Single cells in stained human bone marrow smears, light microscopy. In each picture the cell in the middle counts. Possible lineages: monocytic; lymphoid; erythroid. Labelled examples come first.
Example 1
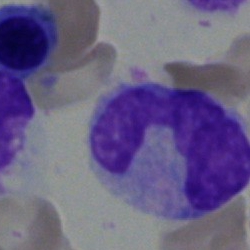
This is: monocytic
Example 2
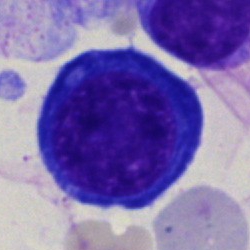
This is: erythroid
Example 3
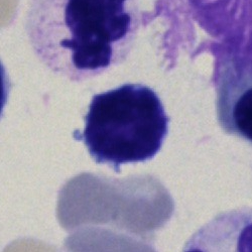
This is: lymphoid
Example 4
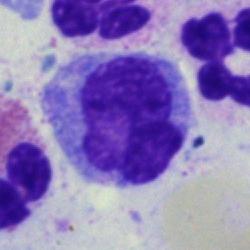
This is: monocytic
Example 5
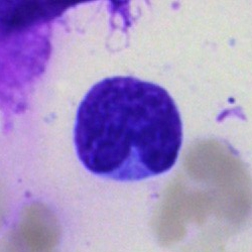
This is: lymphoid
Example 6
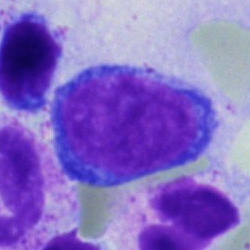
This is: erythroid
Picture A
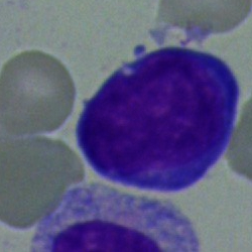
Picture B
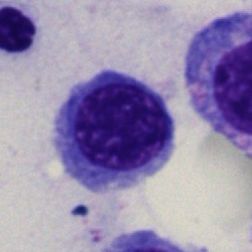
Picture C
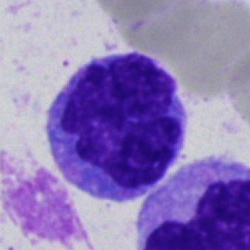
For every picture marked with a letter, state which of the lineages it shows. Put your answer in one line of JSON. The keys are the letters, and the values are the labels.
{"A": "erythroid", "B": "erythroid", "C": "monocytic"}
